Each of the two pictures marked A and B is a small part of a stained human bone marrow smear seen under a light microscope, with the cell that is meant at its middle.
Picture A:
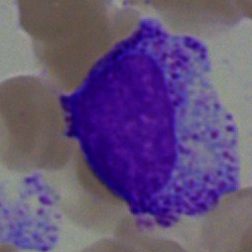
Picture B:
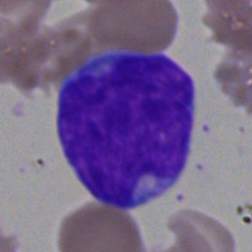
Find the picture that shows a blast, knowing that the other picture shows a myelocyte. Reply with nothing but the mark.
B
